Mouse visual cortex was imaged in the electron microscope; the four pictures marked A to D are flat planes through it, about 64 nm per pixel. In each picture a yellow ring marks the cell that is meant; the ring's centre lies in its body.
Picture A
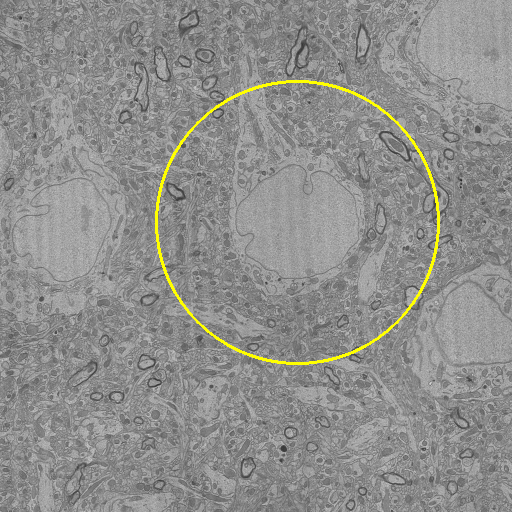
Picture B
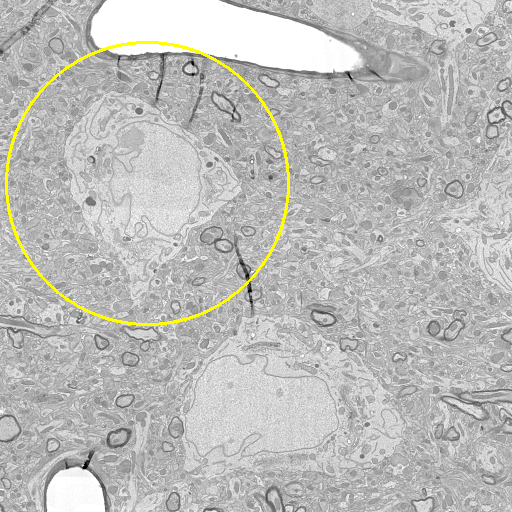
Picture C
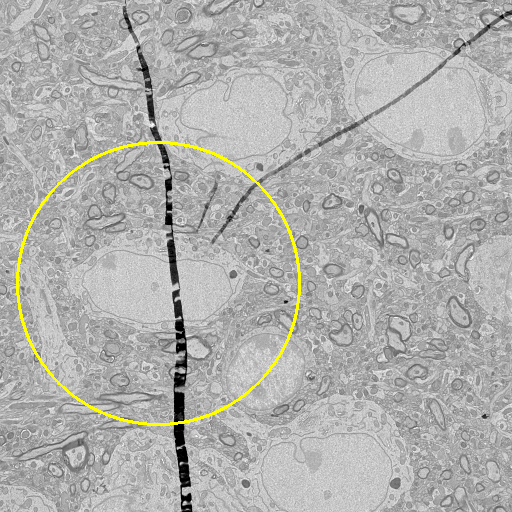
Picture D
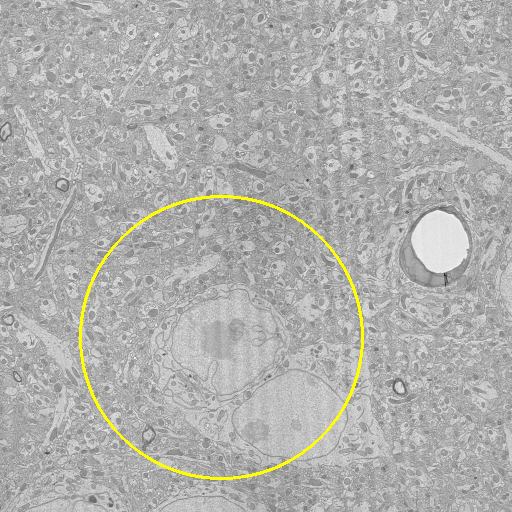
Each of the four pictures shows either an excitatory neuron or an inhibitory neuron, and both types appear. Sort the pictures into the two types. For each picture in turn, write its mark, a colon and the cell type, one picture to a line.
A: excitatory neuron
B: inhibitory neuron
C: excitatory neuron
D: inhibitory neuron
